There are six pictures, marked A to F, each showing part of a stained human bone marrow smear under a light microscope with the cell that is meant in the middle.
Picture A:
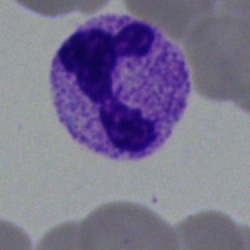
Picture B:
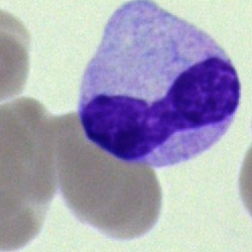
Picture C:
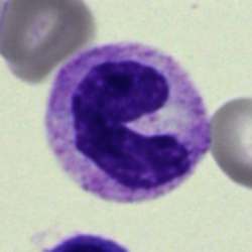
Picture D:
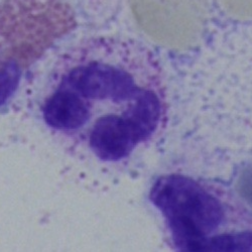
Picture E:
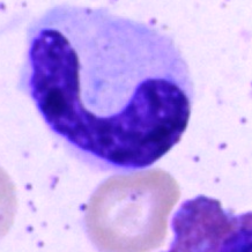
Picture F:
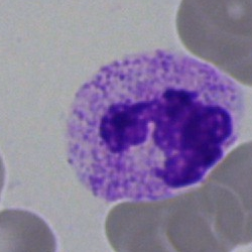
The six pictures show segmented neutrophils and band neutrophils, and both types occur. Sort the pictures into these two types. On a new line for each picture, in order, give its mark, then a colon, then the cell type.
A: segmented neutrophil
B: band neutrophil
C: band neutrophil
D: segmented neutrophil
E: band neutrophil
F: segmented neutrophil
